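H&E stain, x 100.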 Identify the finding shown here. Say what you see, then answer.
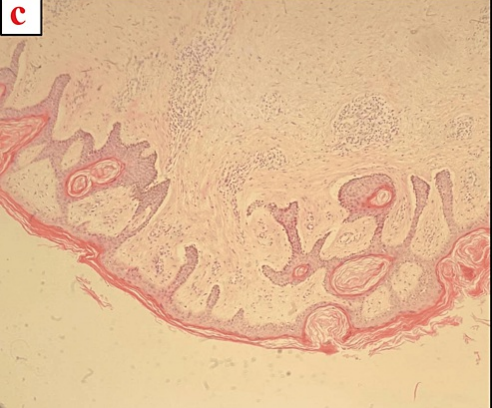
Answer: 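The epidermis is thick and sends irregular projections into the dermis. Round keratin-filled structures lie within the epidermis. A compact pink keratin layer covers the surface. So: Thickened papillomatous epidermis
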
